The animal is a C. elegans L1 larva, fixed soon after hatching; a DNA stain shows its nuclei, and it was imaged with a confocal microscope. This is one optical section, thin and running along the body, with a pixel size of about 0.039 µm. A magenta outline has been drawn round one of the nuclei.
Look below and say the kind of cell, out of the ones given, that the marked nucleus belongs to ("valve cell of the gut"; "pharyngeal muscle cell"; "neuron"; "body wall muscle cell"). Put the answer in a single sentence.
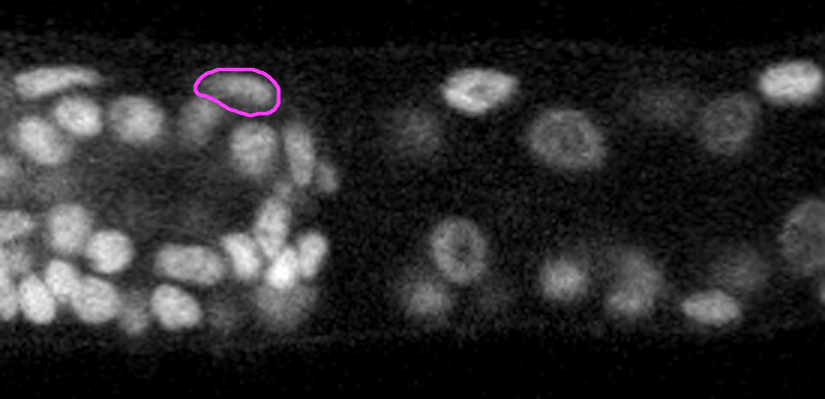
The nucleus comes from a body wall muscle cell.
